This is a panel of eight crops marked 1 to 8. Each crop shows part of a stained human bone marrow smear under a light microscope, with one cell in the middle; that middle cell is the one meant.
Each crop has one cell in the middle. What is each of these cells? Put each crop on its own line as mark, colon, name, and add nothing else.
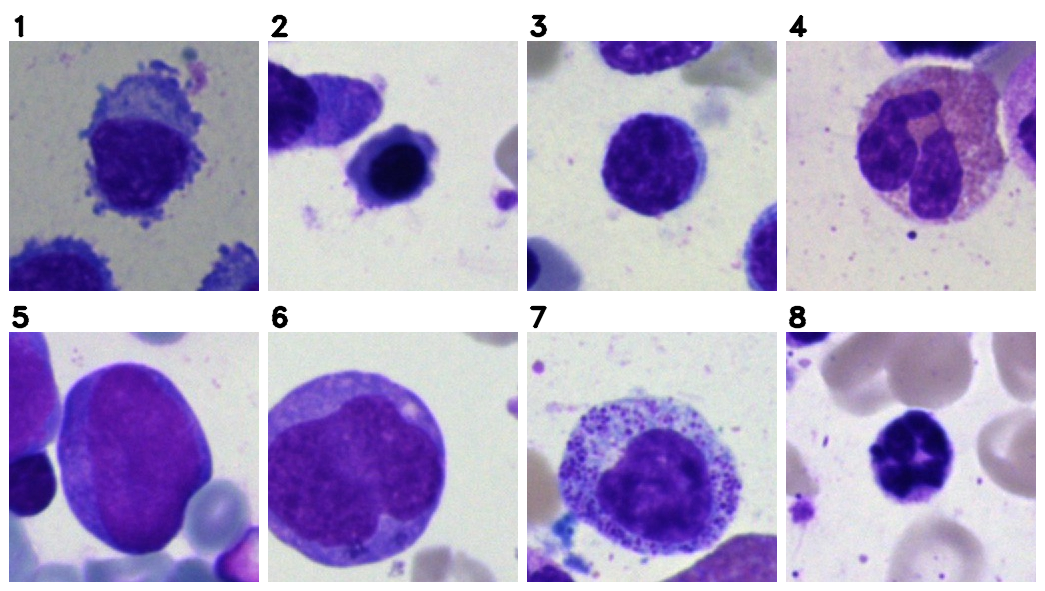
1: plasma cell
2: erythroblast
3: lymphocyte
4: eosinophil
5: blast
6: blast
7: myelocyte
8: segmented neutrophil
